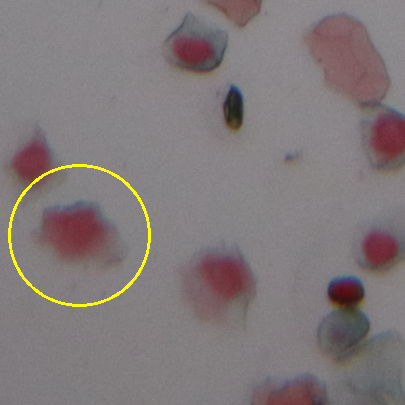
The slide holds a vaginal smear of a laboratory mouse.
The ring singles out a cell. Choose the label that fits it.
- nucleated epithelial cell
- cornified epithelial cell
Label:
nucleated epithelial cell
